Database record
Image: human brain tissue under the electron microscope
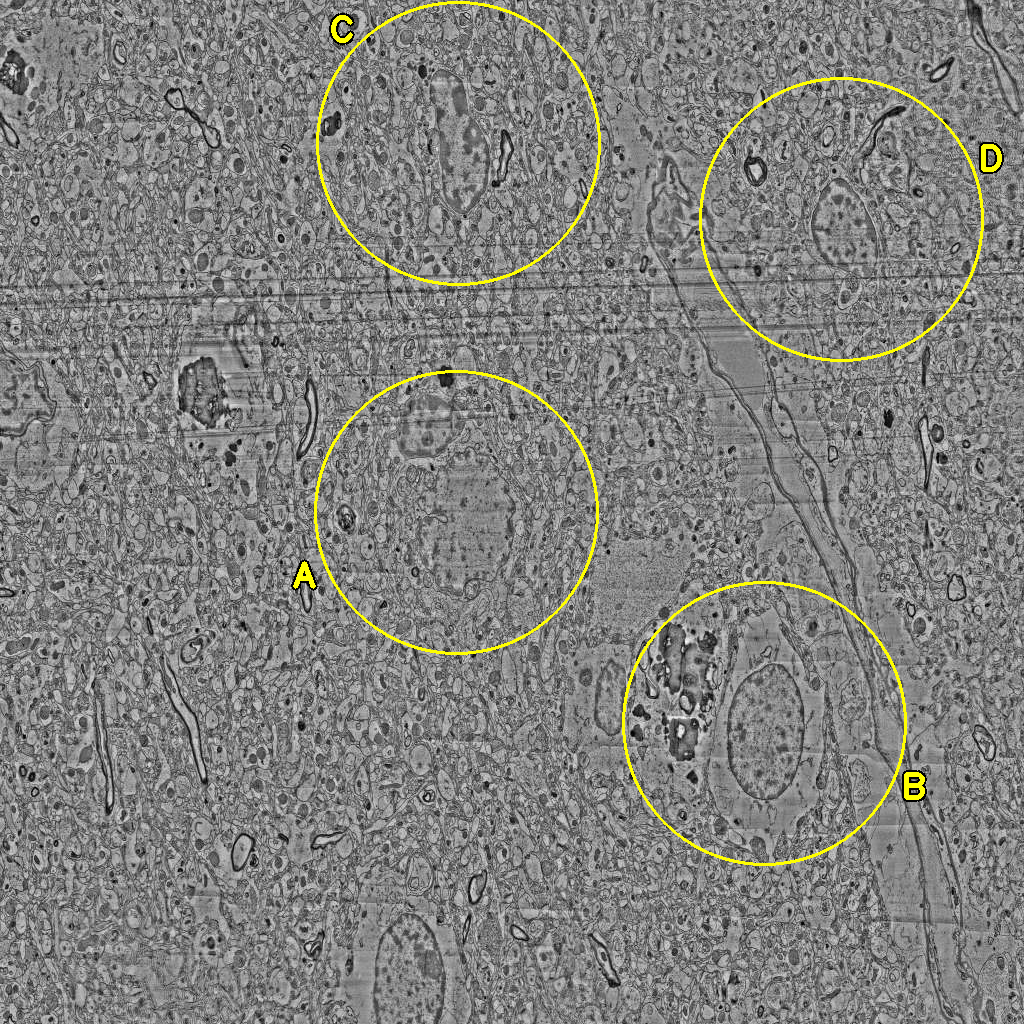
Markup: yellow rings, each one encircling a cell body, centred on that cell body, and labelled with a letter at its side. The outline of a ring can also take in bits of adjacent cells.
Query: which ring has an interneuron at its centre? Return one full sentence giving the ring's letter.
In this image, that kind of cell lies at the centre of the ring labelled A.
